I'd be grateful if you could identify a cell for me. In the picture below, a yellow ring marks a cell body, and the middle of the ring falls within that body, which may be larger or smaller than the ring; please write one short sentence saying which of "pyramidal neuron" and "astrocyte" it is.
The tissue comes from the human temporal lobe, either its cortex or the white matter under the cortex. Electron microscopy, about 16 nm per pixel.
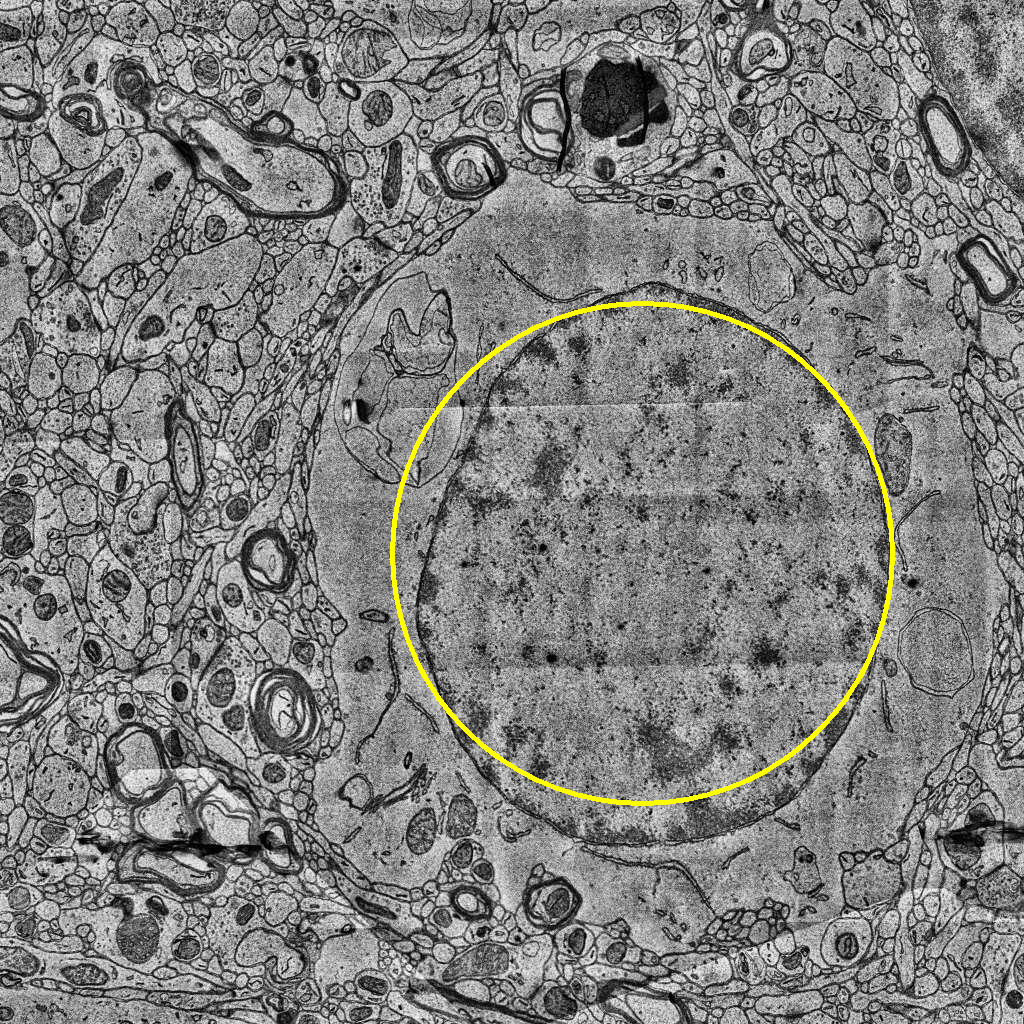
The cell under the ring's centre is an astrocyte.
